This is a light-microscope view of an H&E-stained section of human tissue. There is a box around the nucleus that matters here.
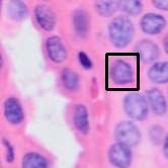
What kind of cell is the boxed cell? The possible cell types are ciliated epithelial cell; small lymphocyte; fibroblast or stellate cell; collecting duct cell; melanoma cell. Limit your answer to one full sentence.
Histopathologically, the boxed cell is a collecting duct cell.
